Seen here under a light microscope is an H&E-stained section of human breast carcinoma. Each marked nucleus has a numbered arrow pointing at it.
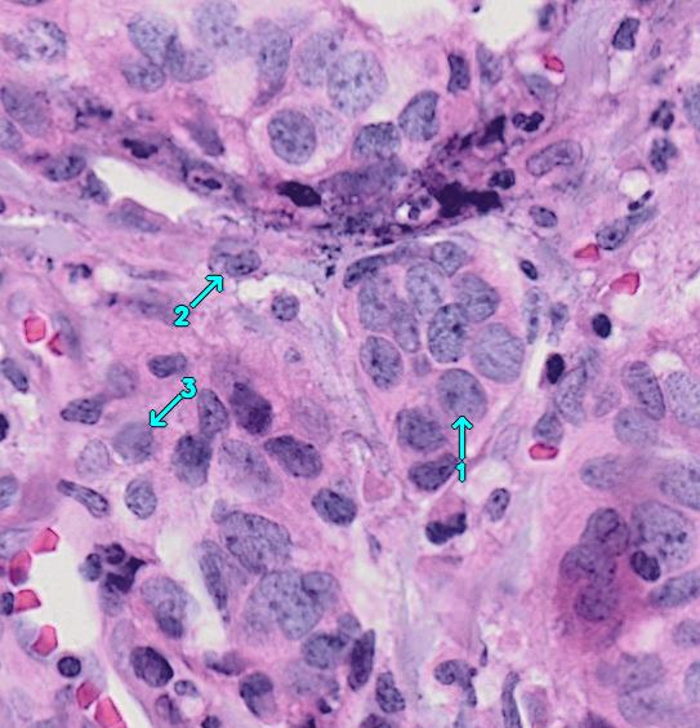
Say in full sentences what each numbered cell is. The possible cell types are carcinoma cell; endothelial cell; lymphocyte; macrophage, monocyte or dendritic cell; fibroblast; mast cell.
Cells 1 and 3 are carcinoma cells. Cell 2 is a macrophage, monocyte or dendritic cell.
